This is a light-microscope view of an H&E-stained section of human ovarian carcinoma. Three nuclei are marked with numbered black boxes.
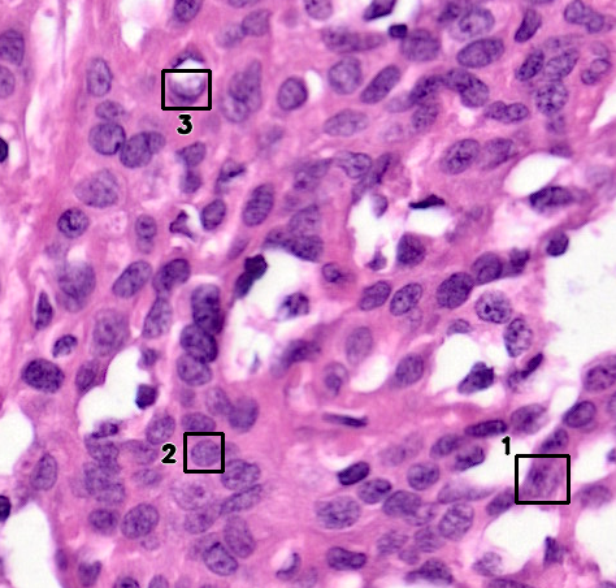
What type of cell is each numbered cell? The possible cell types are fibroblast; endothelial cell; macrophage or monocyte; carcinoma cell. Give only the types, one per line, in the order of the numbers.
carcinoma cell
carcinoma cell
endothelial cell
